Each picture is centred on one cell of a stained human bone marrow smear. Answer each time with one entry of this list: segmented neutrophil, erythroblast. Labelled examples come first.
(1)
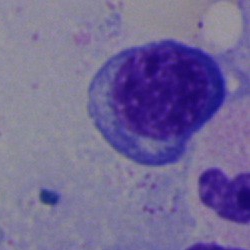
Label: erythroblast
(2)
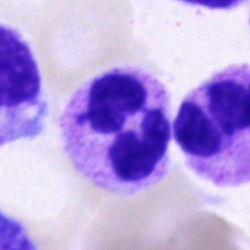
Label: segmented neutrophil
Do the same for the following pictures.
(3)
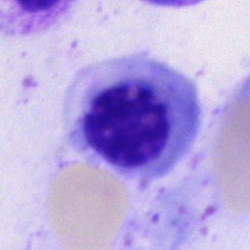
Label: erythroblast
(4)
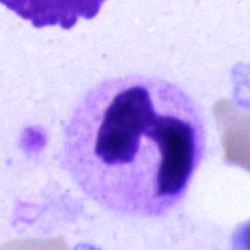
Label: segmented neutrophil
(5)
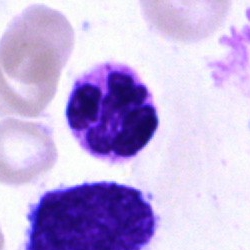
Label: segmented neutrophil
